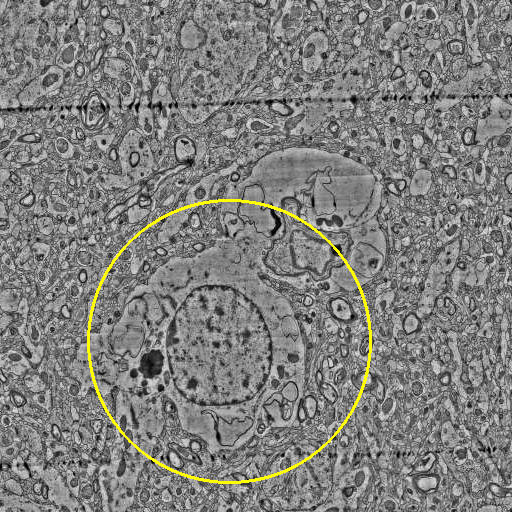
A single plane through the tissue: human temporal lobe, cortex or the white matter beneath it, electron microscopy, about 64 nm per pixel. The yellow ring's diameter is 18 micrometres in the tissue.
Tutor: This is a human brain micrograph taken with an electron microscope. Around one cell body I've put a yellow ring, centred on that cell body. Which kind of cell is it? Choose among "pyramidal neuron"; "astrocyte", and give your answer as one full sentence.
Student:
Going by your list, the cell centred in the yellow ring is an astrocyte.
